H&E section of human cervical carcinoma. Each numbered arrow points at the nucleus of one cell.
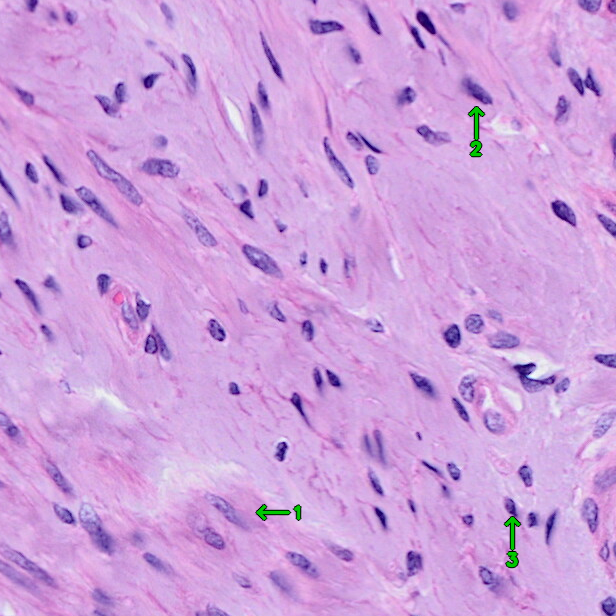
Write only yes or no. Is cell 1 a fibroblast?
no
